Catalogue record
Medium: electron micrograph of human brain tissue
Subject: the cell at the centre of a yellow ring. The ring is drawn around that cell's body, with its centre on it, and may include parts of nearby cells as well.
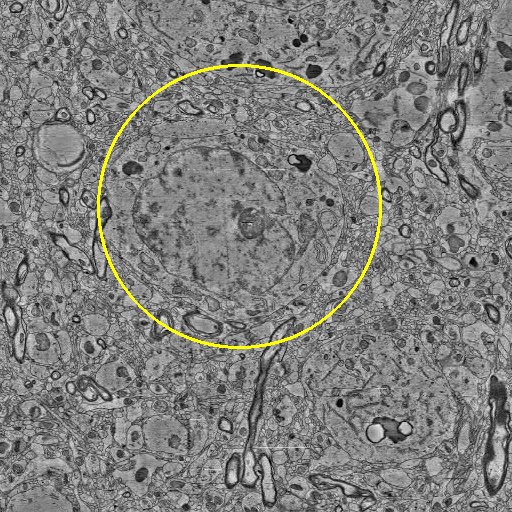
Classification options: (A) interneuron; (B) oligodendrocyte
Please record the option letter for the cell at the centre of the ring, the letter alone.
A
